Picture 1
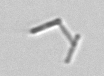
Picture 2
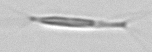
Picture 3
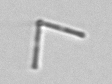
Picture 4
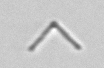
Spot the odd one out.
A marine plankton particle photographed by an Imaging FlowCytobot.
Picture 2 (Calciosolenia among Nanoneis).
